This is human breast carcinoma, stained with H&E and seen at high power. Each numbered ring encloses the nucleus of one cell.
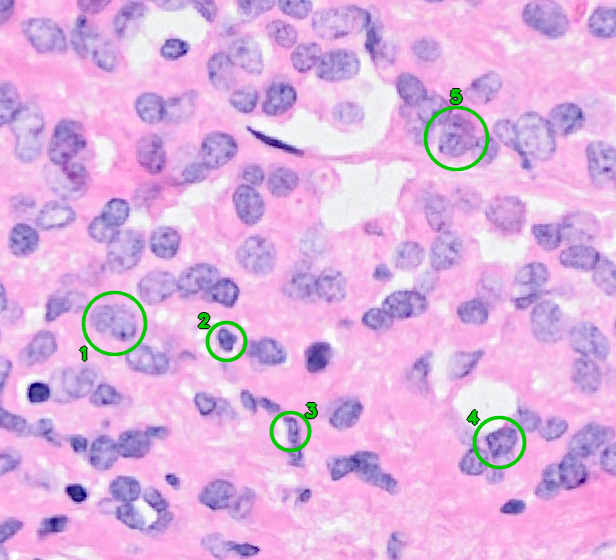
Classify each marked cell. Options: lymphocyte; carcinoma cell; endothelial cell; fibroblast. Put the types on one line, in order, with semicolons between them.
carcinoma cell; lymphocyte; endothelial cell; carcinoma cell; carcinoma cell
